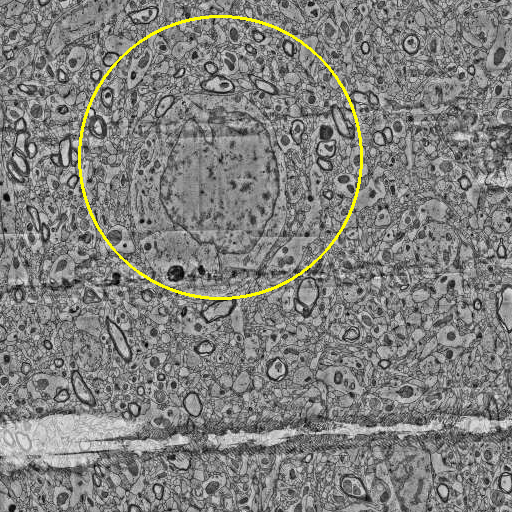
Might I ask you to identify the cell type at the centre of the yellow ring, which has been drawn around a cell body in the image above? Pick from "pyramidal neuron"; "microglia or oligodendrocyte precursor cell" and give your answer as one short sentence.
The centre of the ring falls on a pyramidal neuron.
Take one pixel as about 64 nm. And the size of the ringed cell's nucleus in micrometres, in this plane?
The ringed cell's nucleus measures approximately 9 by 8 micrometres in this plane.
